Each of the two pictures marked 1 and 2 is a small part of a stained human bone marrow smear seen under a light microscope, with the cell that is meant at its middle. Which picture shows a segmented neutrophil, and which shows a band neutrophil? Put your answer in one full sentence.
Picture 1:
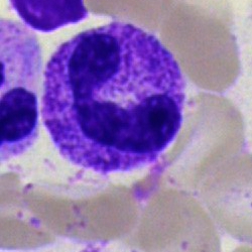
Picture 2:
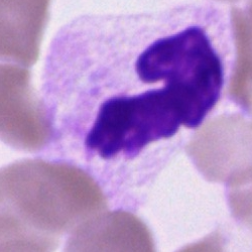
Picture 1 is of a segmented neutrophil, and picture 2 is of a band neutrophil.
